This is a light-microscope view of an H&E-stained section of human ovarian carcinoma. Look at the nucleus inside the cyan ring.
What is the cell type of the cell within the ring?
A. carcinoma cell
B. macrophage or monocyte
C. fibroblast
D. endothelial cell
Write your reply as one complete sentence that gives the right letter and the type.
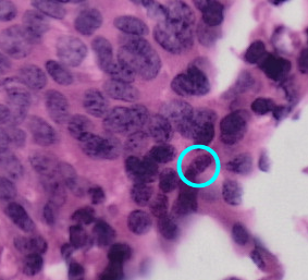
The accurate option is A, with the cell within the ring being a carcinoma cell.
